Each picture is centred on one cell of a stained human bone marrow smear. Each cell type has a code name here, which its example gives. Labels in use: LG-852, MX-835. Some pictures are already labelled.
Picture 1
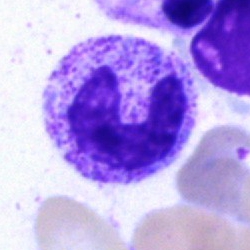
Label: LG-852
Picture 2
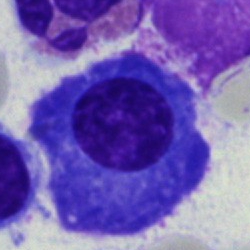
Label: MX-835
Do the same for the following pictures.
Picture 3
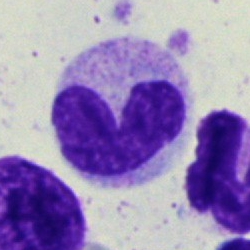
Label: LG-852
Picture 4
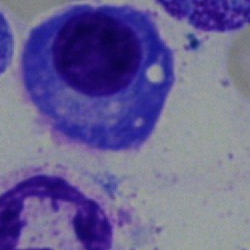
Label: MX-835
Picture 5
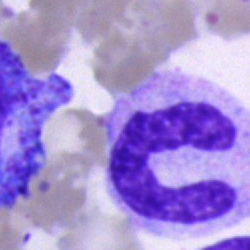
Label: LG-852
